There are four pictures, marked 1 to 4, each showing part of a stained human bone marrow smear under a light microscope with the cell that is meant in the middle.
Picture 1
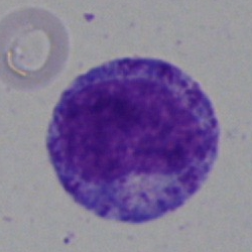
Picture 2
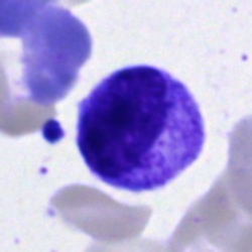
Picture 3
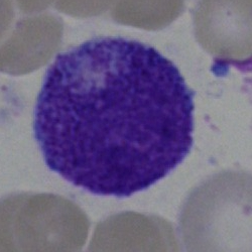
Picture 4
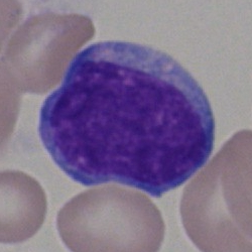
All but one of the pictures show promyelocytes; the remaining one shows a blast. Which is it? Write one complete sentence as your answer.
It is picture 4 that shows the blast.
